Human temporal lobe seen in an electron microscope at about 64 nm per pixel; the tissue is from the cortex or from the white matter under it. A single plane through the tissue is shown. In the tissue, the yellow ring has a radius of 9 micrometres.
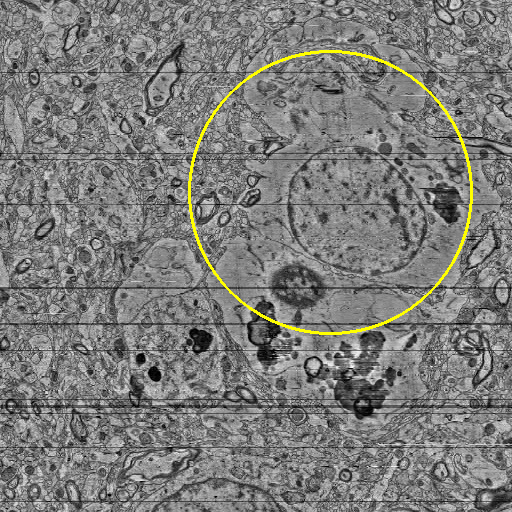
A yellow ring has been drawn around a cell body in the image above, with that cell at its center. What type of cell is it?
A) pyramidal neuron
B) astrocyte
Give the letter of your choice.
B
